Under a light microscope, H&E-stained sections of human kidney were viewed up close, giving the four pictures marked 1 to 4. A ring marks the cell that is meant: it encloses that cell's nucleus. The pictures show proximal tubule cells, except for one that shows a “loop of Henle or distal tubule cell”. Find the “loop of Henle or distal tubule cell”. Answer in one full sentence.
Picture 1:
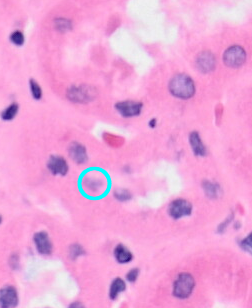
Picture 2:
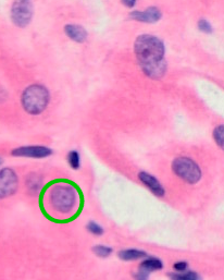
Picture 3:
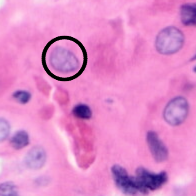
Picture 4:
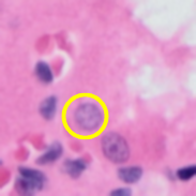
Picture 1 is the one that shows the “loop of Henle or distal tubule cell”.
